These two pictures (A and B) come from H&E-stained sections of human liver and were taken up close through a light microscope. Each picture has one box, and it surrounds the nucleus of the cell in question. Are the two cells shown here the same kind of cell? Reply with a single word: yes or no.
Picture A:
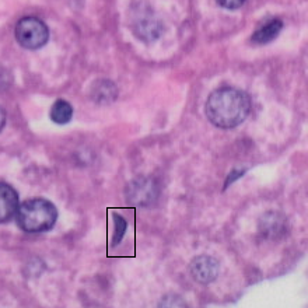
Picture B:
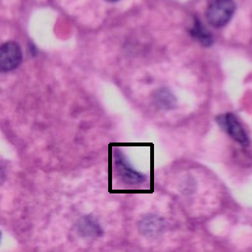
yes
